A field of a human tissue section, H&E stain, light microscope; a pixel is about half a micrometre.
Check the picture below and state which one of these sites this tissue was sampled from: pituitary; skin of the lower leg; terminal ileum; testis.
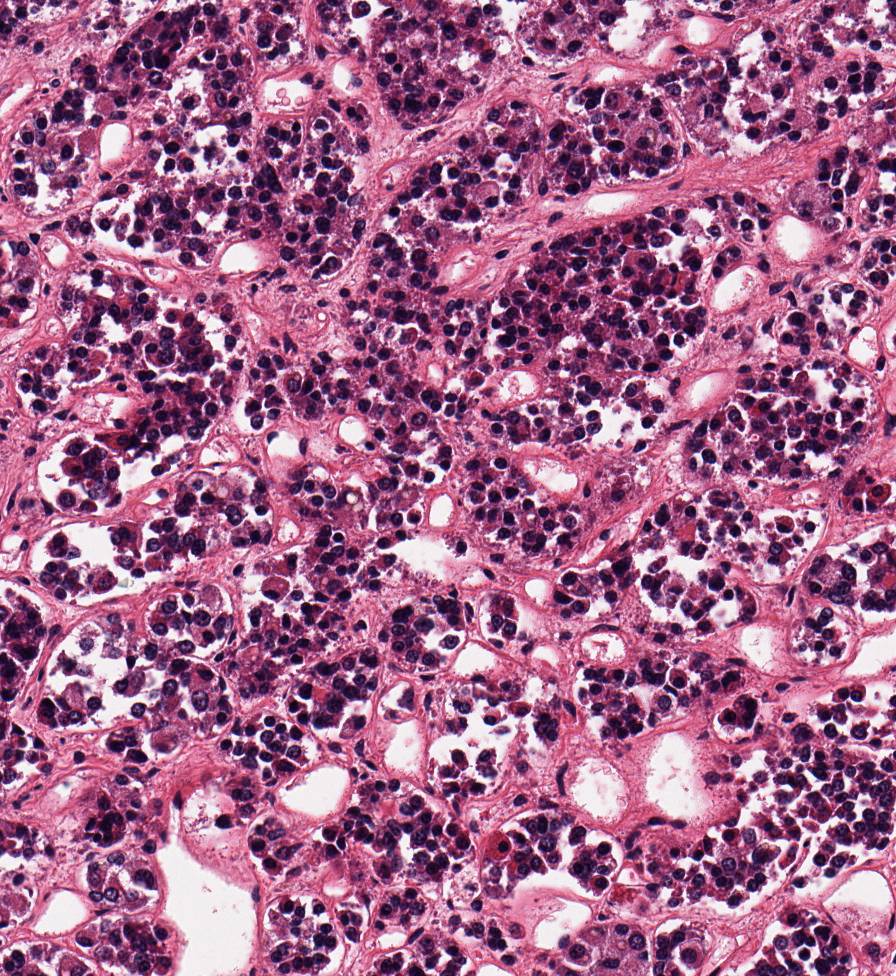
pituitary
